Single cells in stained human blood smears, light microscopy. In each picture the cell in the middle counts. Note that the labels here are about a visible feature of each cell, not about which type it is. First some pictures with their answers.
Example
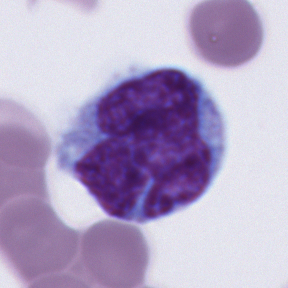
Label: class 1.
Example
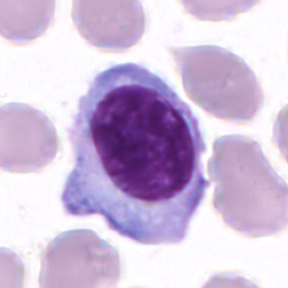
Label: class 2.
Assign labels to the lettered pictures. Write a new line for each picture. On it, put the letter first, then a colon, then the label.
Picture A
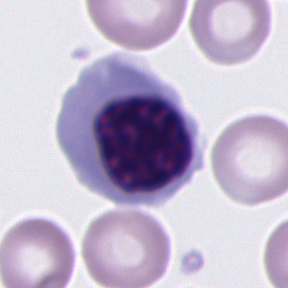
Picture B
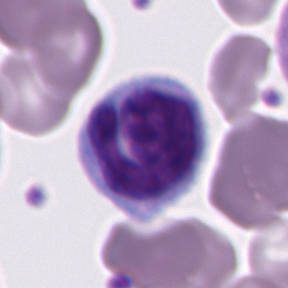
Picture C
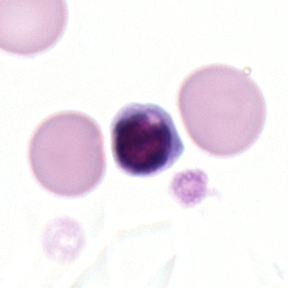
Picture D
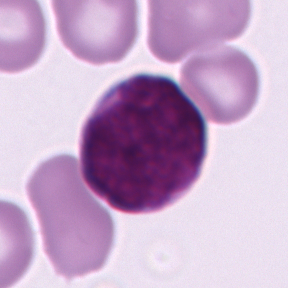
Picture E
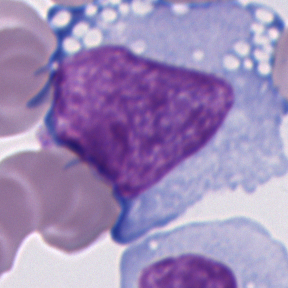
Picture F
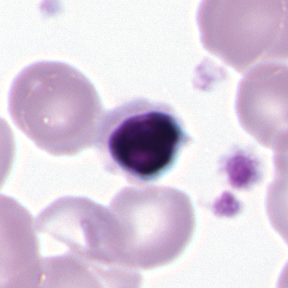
A: class 2.
B: class 1.
C: class 1.
D: class 1.
E: class 2.
F: class 1.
